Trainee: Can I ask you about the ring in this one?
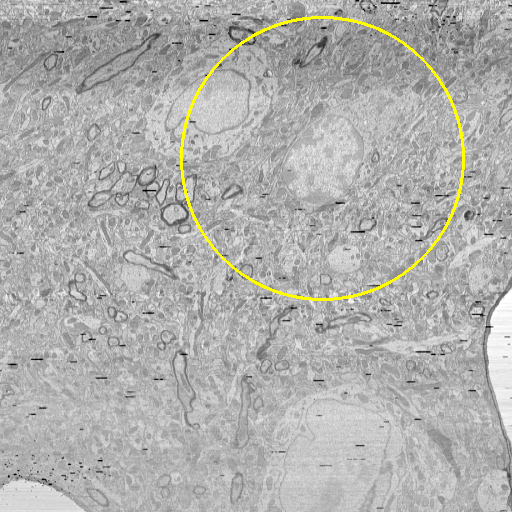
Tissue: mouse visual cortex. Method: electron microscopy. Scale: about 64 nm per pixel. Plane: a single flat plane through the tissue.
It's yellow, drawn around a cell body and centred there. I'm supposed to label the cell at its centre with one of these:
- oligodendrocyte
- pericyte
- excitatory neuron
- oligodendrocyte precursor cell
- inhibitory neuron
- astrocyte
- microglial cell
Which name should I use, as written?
oligodendrocyte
